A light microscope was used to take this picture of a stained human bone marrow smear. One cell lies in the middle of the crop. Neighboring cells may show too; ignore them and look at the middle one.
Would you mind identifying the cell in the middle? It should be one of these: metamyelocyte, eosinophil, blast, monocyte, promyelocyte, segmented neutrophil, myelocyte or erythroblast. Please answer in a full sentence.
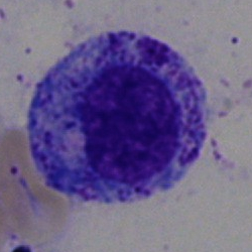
Of the cells in this crop, the central one is a myelocyte.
